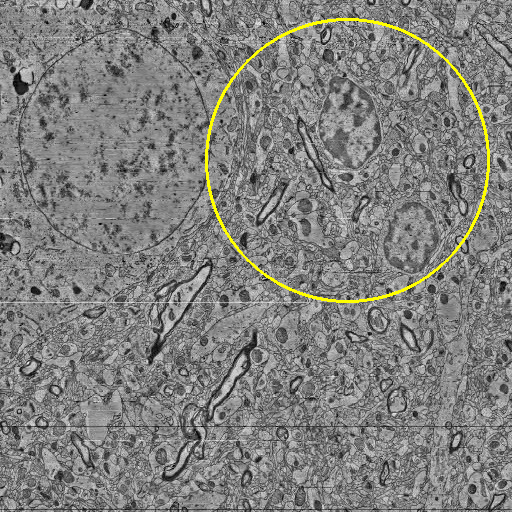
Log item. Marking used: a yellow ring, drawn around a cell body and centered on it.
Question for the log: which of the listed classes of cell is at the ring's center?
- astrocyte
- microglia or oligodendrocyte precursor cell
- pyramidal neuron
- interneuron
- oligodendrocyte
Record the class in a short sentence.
At the center of the ring lies a microglial cell or oligodendrocyte precursor cell.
